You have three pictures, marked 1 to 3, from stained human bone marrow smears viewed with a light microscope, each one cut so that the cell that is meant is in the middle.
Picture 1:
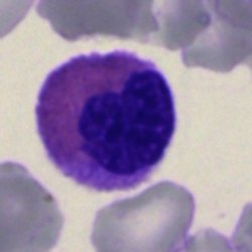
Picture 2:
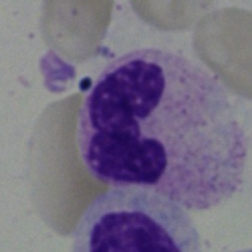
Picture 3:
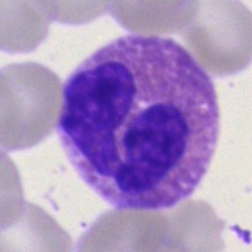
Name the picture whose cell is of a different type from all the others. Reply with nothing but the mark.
2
